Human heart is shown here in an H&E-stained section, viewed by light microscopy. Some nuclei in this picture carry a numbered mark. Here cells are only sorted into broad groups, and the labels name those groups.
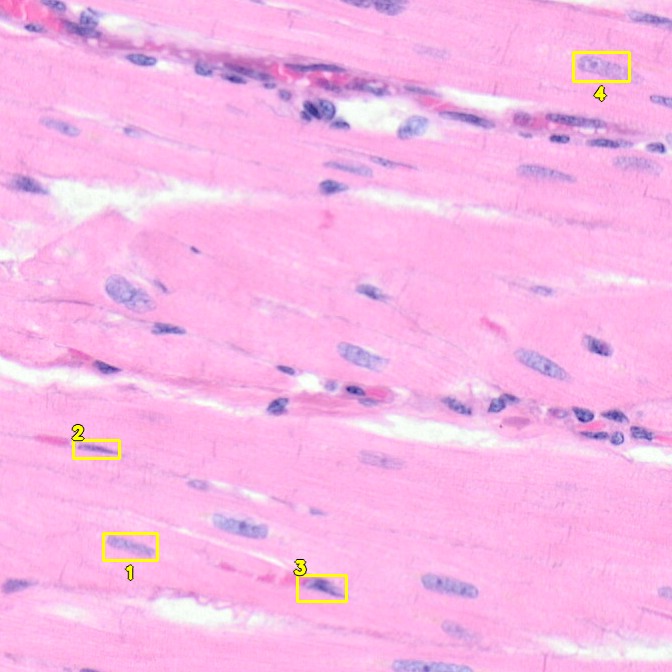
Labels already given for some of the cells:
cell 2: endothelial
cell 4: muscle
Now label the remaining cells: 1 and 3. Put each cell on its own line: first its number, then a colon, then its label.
1: muscle
3: endothelial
